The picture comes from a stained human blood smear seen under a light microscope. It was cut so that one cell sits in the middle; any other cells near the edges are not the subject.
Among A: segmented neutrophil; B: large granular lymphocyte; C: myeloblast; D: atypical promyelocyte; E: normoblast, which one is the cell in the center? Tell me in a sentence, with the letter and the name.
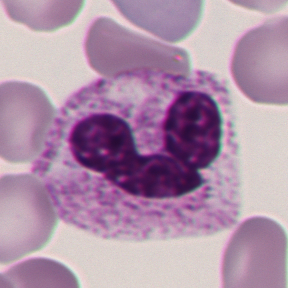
The cell in the centre of the crop is a segmented neutrophil, so option A is the correct one.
